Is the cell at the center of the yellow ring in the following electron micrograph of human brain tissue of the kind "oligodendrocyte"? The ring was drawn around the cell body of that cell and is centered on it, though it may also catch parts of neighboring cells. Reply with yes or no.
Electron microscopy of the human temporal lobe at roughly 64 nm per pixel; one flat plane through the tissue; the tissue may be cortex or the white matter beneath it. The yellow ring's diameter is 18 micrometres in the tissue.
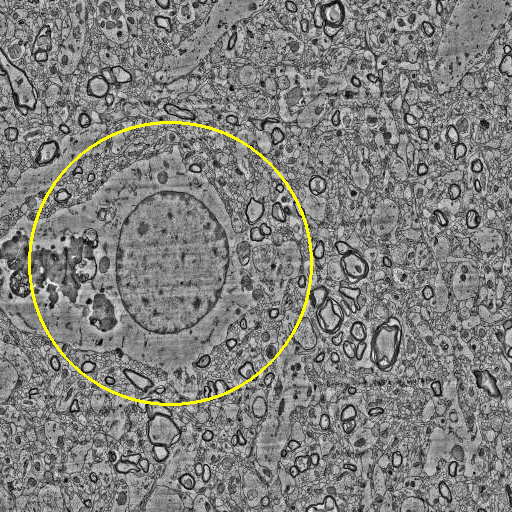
No, it is of another kind.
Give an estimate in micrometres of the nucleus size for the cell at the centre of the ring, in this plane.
The nucleus of the ringed cell is approximately 9 by 7 micrometres in this plane.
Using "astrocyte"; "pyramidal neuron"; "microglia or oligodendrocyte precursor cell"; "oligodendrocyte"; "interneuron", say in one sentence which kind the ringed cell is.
The ringed cell in this picture is, instead, an astrocyte.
